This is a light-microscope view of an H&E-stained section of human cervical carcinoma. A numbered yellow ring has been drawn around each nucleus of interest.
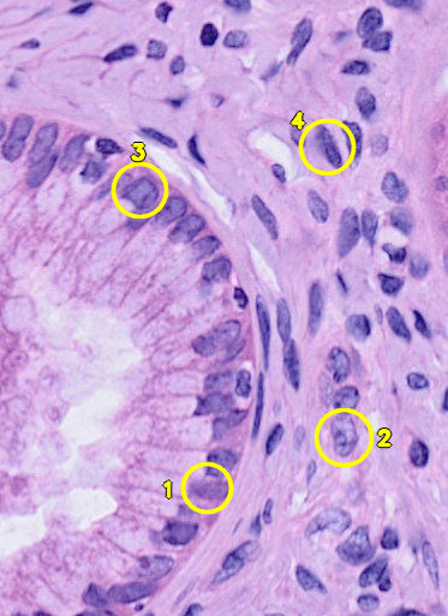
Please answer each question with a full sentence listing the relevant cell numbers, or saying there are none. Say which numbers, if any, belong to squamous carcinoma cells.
Of all the numbered cells, not one is counted among the squamous carcinoma cells.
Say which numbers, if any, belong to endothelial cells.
Among the numbered nuclei, only the one labelled 2 belongs to an endothelial cell.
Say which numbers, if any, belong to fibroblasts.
As for the numbered cells, only cell 4 is a fibroblast.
